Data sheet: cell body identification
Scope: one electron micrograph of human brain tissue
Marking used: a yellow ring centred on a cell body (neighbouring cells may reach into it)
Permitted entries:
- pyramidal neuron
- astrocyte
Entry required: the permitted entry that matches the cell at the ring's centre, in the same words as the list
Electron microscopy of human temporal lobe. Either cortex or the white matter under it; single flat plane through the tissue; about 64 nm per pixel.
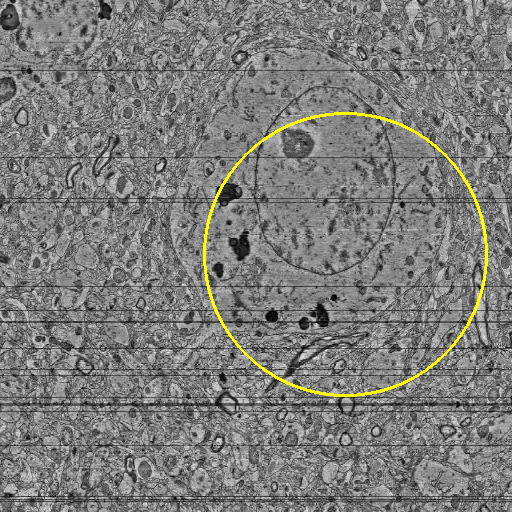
pyramidal neuron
